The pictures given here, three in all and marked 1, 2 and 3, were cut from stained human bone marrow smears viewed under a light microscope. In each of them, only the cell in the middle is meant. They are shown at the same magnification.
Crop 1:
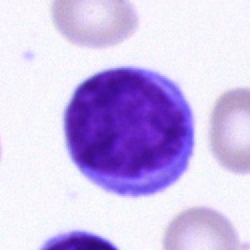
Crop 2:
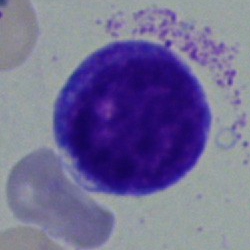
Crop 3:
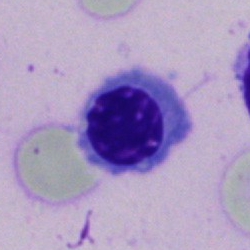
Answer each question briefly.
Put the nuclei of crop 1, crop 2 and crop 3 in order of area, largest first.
2, 1, 3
